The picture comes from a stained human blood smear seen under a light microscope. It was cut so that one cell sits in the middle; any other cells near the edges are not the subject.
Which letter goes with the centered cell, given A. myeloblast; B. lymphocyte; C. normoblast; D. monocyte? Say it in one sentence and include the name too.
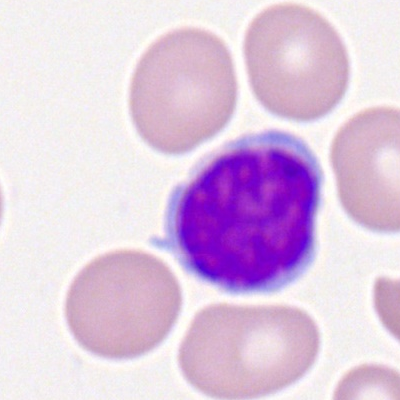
The best answer is option B, since the cell in the middle is a lymphocyte.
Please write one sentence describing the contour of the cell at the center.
Irregular rather than smooth, the cell margin shows ragged areas or projections.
